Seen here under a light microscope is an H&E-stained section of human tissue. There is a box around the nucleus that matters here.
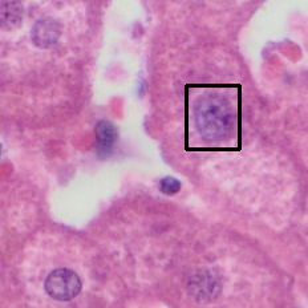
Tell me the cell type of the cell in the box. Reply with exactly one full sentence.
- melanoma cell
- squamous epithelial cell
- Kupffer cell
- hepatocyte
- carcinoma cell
The identity of the cell in the box is that of a hepatocyte.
